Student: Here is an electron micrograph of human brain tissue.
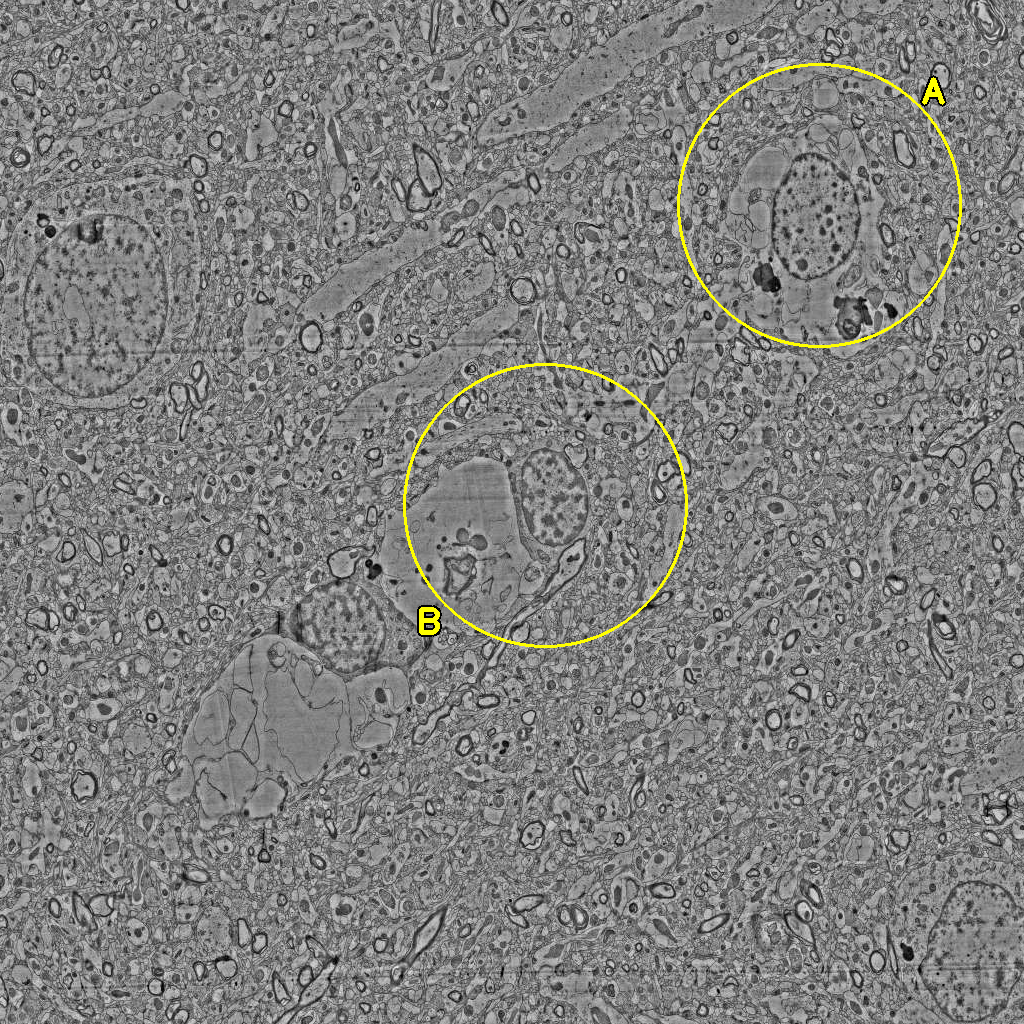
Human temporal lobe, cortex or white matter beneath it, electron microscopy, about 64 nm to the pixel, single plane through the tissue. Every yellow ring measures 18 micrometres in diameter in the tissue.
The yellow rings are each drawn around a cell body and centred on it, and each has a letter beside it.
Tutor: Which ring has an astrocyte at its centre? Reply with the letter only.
A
